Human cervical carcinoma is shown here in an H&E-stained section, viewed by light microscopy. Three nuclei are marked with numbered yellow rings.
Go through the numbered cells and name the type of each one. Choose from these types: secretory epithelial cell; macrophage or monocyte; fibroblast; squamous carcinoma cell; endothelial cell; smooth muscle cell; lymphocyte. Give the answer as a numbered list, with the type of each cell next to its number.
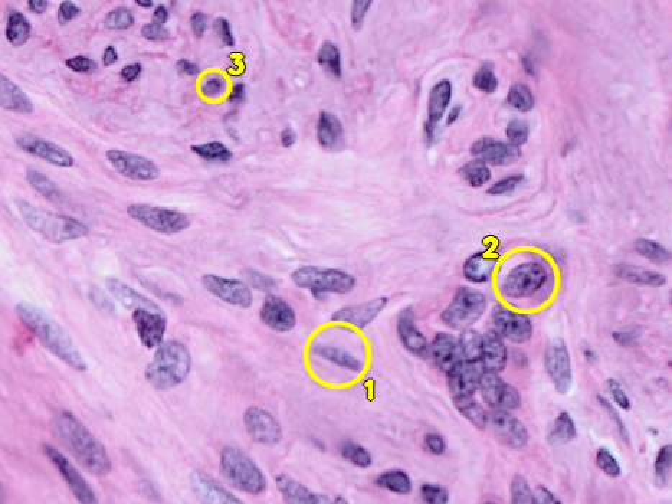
1. fibroblast
2. endothelial cell
3. smooth muscle cell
